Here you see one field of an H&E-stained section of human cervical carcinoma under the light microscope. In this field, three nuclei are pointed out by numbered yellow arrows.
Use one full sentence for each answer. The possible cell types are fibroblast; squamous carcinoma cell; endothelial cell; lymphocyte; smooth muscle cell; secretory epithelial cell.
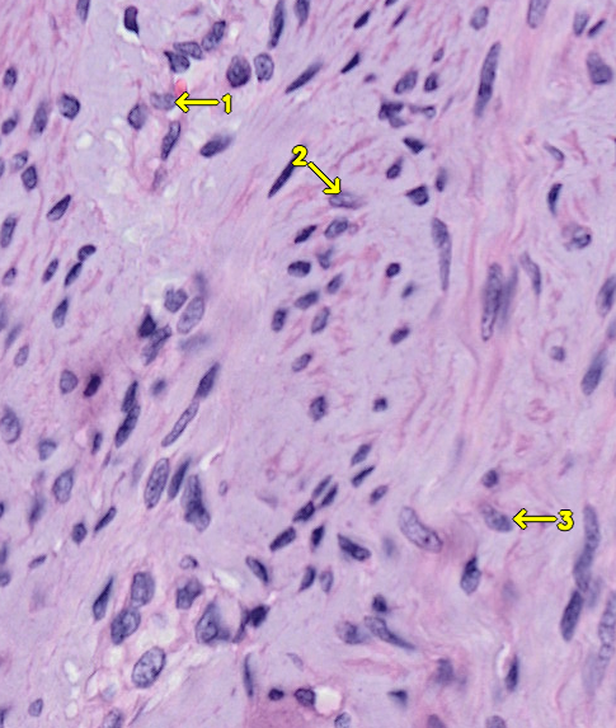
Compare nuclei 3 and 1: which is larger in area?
Nucleus 3 is larger, with an area about 1.5 times that of nucleus 1.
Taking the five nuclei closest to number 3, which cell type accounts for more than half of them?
The majority of the five nuclei closest to number 3 belong to smooth muscle cells.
